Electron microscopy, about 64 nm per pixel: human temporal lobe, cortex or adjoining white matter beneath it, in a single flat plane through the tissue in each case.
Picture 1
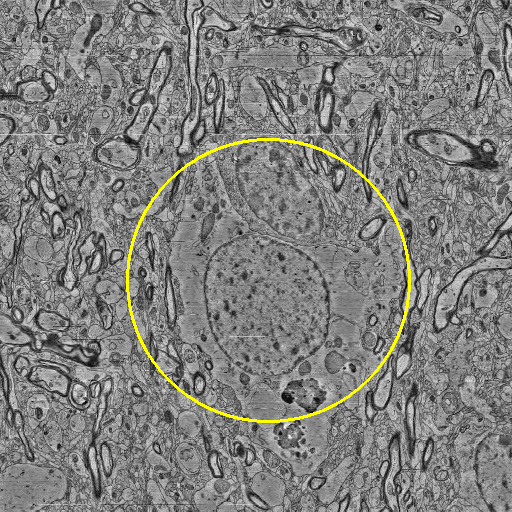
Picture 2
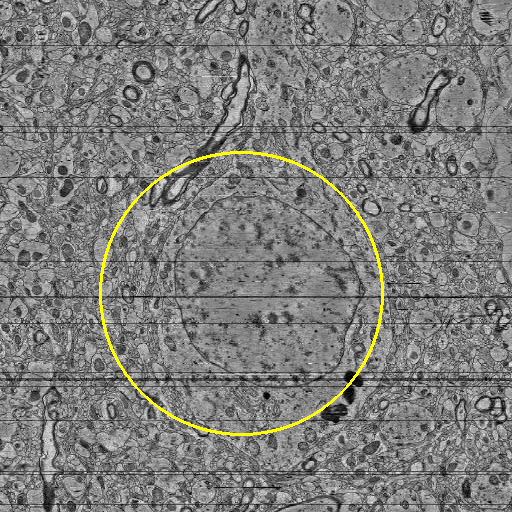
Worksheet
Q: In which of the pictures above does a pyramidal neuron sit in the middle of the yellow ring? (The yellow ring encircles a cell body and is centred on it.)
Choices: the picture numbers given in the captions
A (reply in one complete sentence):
In picture 2, the cell sitting at the centre of the ring is the match.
